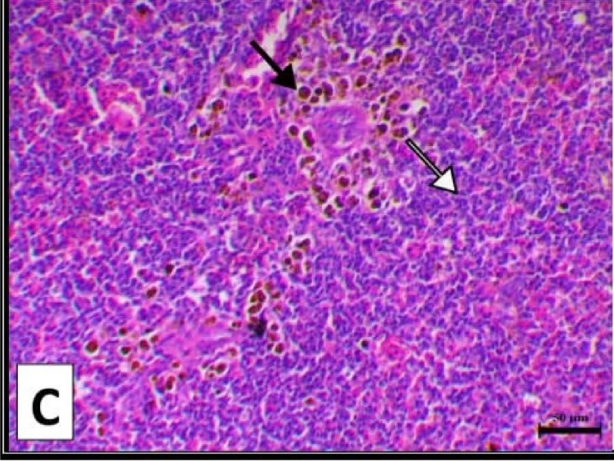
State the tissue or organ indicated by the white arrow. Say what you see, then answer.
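Dense sheets of small round cells with dark purple nuclei.
Conclusion: lymphoid tissues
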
